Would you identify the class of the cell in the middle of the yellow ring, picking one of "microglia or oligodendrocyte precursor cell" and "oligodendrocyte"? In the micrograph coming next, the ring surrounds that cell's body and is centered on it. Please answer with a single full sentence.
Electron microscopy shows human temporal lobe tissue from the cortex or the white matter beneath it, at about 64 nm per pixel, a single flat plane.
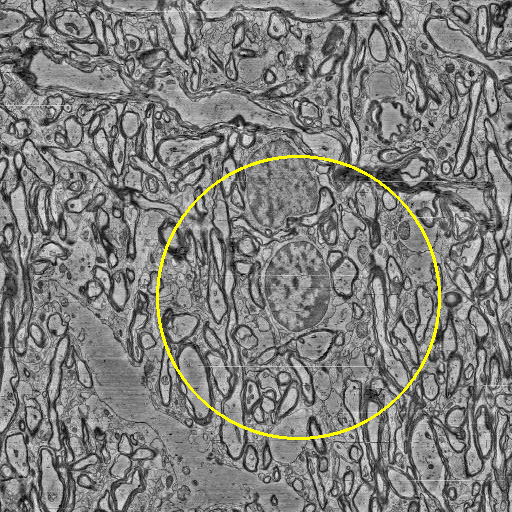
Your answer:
In the micrograph, it is a microglial cell or oligodendrocyte precursor cell whose body lies at the ring's center.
